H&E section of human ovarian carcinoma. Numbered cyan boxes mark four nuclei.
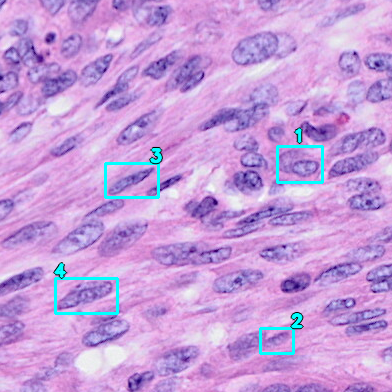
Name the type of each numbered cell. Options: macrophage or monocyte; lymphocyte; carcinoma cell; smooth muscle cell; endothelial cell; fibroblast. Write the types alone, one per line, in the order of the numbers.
endothelial cell
fibroblast
fibroblast
fibroblast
